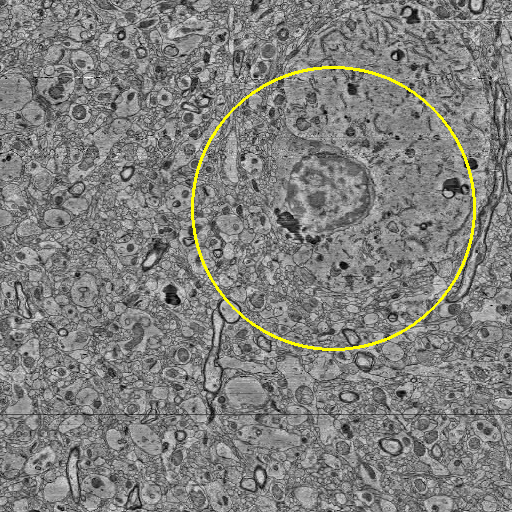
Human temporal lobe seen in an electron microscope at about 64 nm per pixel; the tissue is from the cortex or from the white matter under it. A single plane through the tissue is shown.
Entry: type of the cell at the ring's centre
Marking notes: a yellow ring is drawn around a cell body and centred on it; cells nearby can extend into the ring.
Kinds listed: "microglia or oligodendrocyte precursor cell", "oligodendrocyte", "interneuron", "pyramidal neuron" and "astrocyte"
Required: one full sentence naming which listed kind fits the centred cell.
My entry names an oligodendrocyte as the cell whose body the yellow ring centres on.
